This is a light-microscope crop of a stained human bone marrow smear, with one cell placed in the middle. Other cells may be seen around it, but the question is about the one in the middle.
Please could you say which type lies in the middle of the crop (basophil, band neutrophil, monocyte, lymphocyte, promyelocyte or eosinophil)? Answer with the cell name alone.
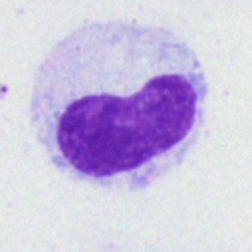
band neutrophil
